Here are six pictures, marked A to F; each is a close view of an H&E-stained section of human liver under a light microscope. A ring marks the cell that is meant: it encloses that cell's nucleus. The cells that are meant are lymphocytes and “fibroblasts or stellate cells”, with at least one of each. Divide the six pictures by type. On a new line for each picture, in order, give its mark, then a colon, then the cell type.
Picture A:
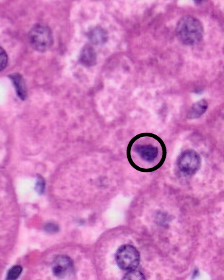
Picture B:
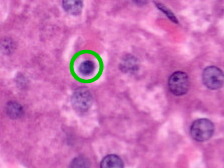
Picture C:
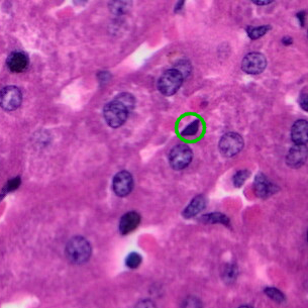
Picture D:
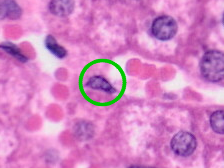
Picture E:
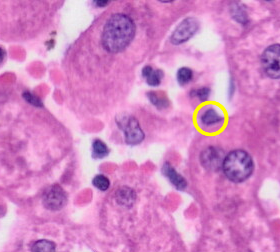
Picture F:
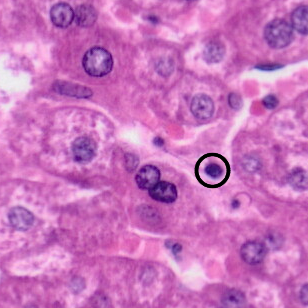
A: fibroblast or stellate cell
B: lymphocyte
C: fibroblast or stellate cell
D: fibroblast or stellate cell
E: fibroblast or stellate cell
F: lymphocyte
